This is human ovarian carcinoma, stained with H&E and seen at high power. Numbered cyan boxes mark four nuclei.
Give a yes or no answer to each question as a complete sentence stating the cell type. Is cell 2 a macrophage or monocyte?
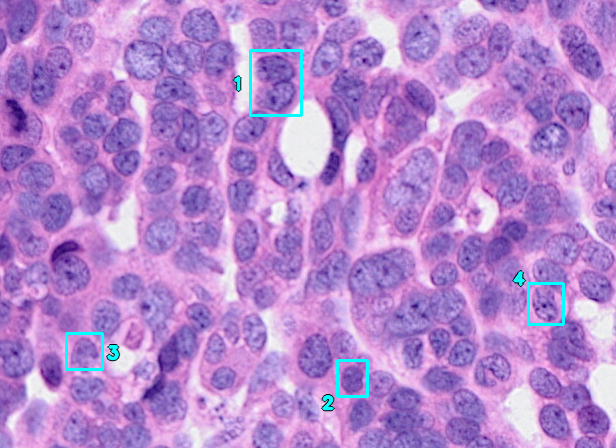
No, cell 2 is not a macrophage or monocyte at all but a carcinoma cell.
